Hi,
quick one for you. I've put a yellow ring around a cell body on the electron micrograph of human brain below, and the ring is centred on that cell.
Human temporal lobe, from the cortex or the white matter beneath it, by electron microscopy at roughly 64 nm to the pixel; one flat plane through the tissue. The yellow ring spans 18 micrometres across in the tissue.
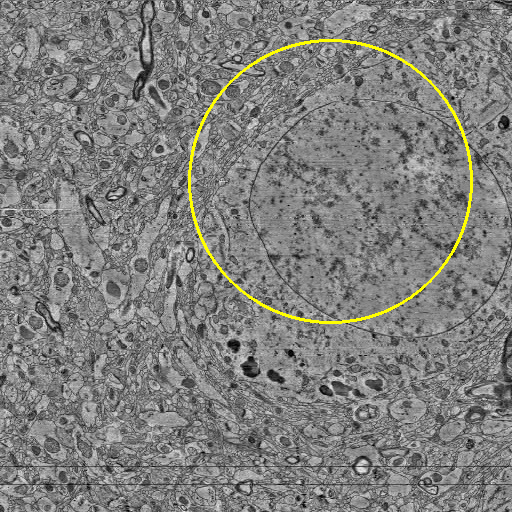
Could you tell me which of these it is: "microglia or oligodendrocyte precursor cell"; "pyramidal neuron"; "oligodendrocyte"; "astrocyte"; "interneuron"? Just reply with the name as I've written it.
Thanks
pyramidal neuron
